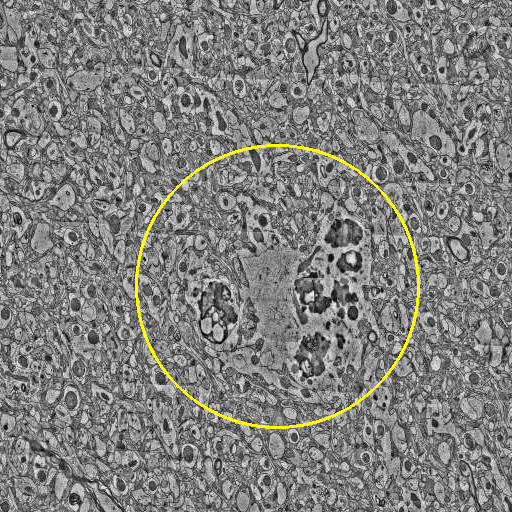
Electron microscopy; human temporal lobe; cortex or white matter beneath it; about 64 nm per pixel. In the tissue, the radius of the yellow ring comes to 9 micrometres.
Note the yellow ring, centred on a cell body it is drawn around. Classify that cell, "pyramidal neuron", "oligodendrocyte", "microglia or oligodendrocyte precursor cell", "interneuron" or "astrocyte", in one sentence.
The cell the ring is centred on is an astrocyte.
